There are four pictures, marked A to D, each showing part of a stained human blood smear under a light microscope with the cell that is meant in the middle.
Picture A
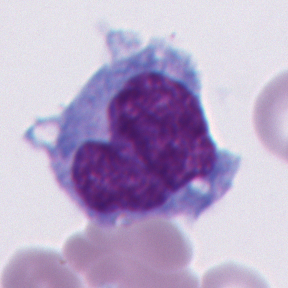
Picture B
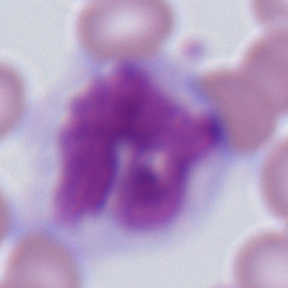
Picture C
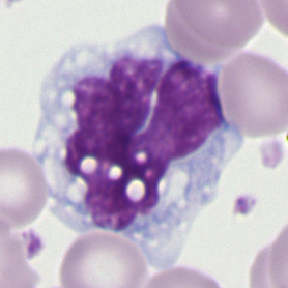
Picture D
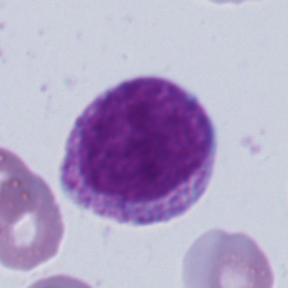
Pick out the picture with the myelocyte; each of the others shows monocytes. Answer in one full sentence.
Picture D is the one that shows the myelocyte.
